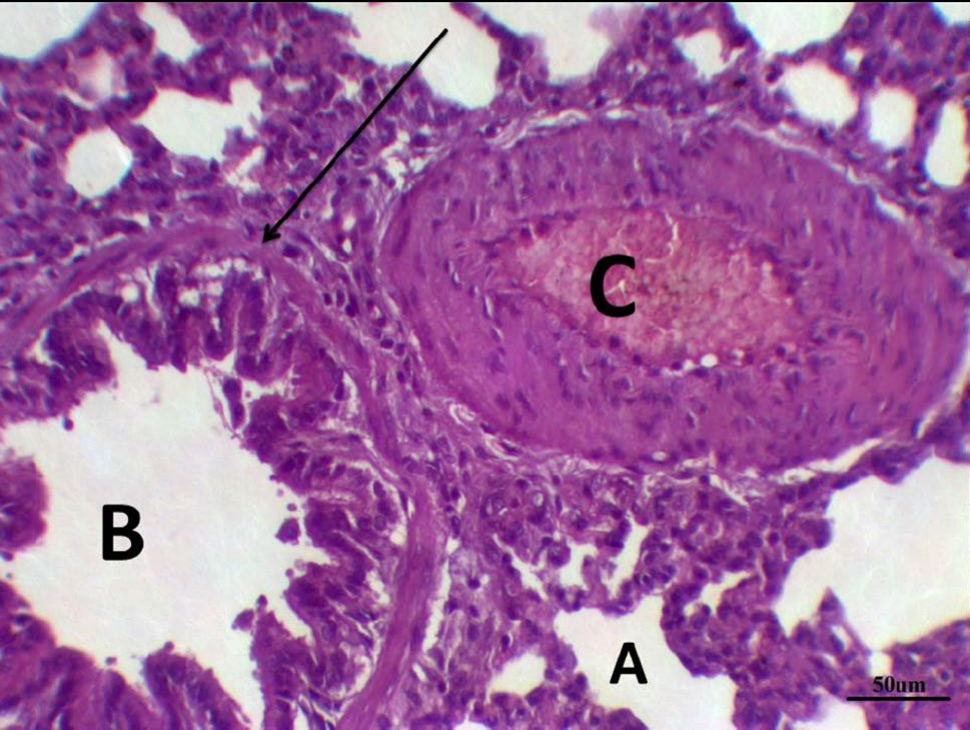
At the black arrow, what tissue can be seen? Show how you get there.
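The arrow points to a pink band with elongated nuclei running around the airway wall. The band lies beneath the epithelium lining the lumen. On this evidence: musculosa layer.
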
